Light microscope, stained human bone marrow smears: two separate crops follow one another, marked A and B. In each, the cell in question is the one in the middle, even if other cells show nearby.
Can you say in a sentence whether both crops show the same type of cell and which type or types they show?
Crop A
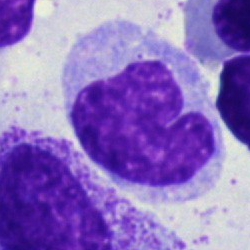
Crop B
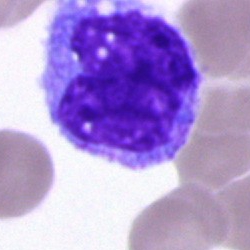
Yes, the cells centred in the two crops are both monocytes.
